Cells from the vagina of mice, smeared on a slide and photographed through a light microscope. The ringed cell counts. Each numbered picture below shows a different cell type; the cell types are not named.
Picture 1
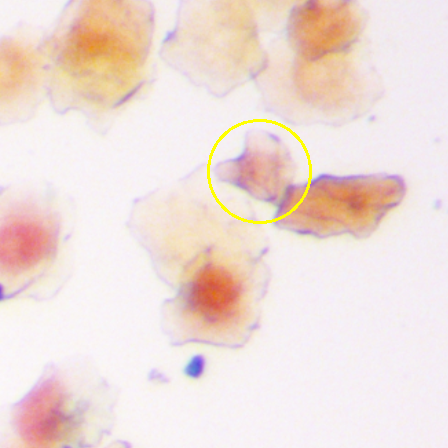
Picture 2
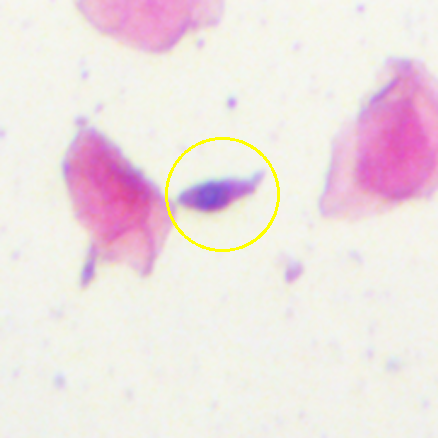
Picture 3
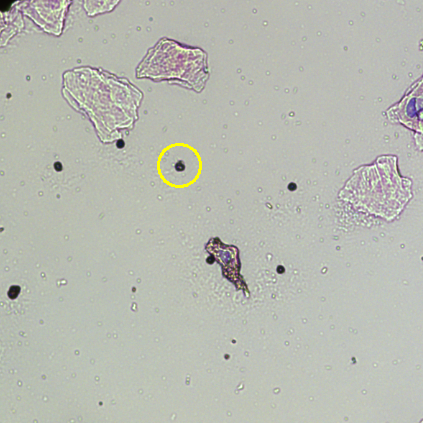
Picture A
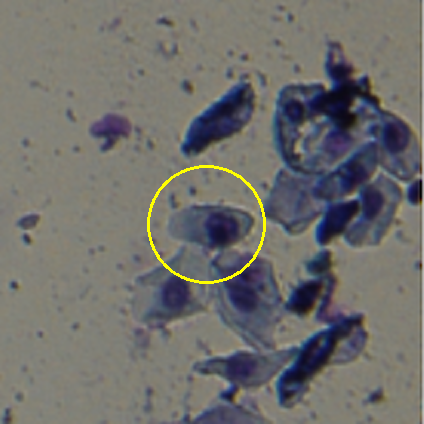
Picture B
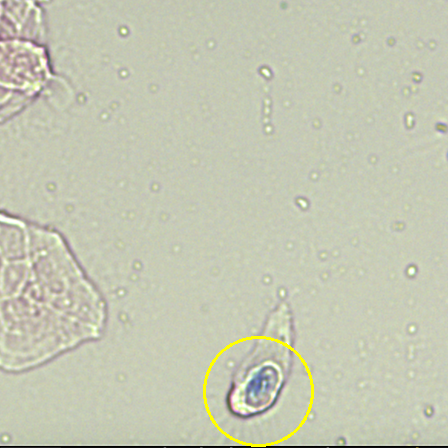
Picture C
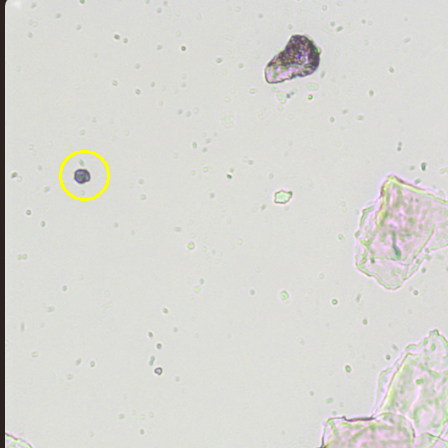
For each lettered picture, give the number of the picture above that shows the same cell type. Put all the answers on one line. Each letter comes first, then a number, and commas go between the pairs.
A 2, B 2, C 3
